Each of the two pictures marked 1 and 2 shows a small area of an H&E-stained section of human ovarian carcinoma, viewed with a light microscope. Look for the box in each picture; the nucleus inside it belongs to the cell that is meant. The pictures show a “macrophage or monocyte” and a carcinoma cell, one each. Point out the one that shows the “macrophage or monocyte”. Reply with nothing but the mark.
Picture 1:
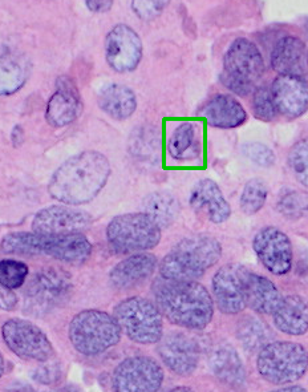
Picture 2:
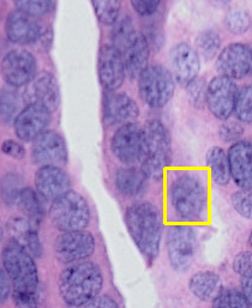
1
